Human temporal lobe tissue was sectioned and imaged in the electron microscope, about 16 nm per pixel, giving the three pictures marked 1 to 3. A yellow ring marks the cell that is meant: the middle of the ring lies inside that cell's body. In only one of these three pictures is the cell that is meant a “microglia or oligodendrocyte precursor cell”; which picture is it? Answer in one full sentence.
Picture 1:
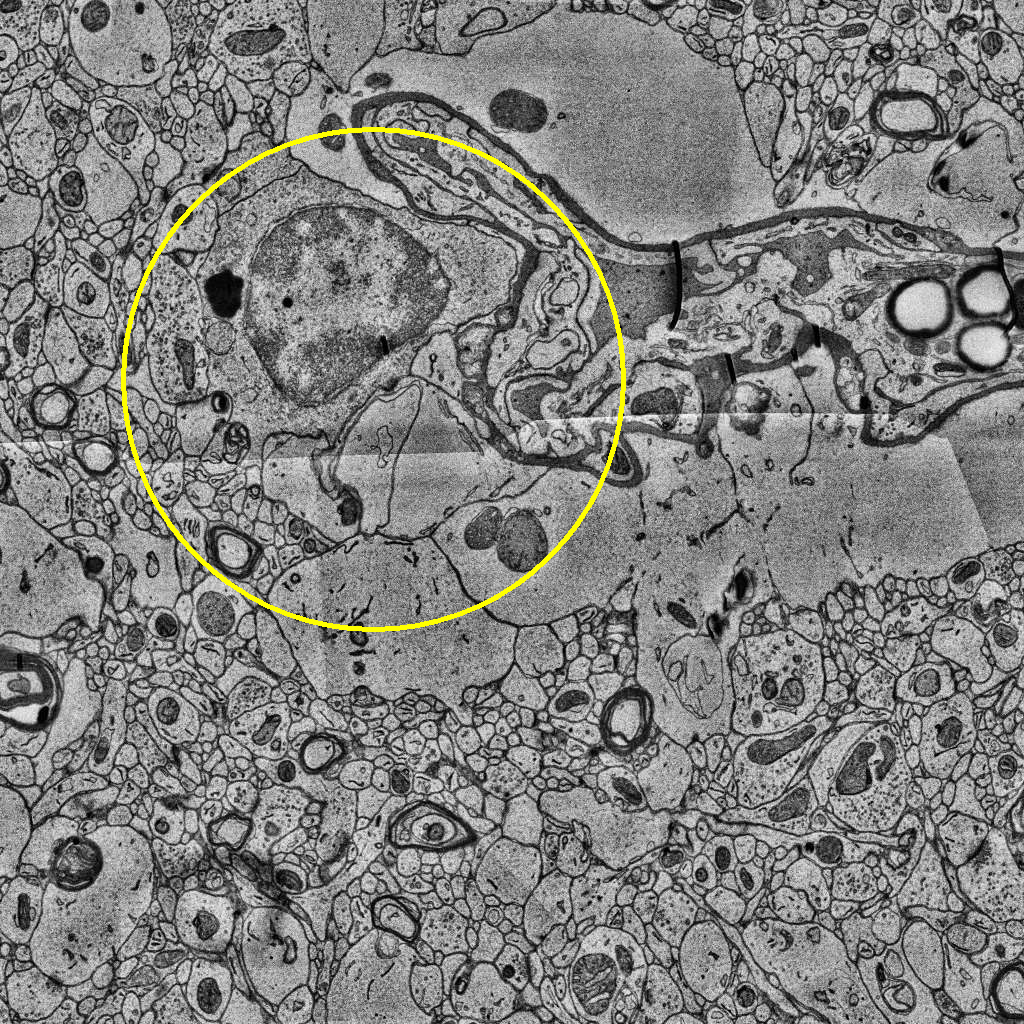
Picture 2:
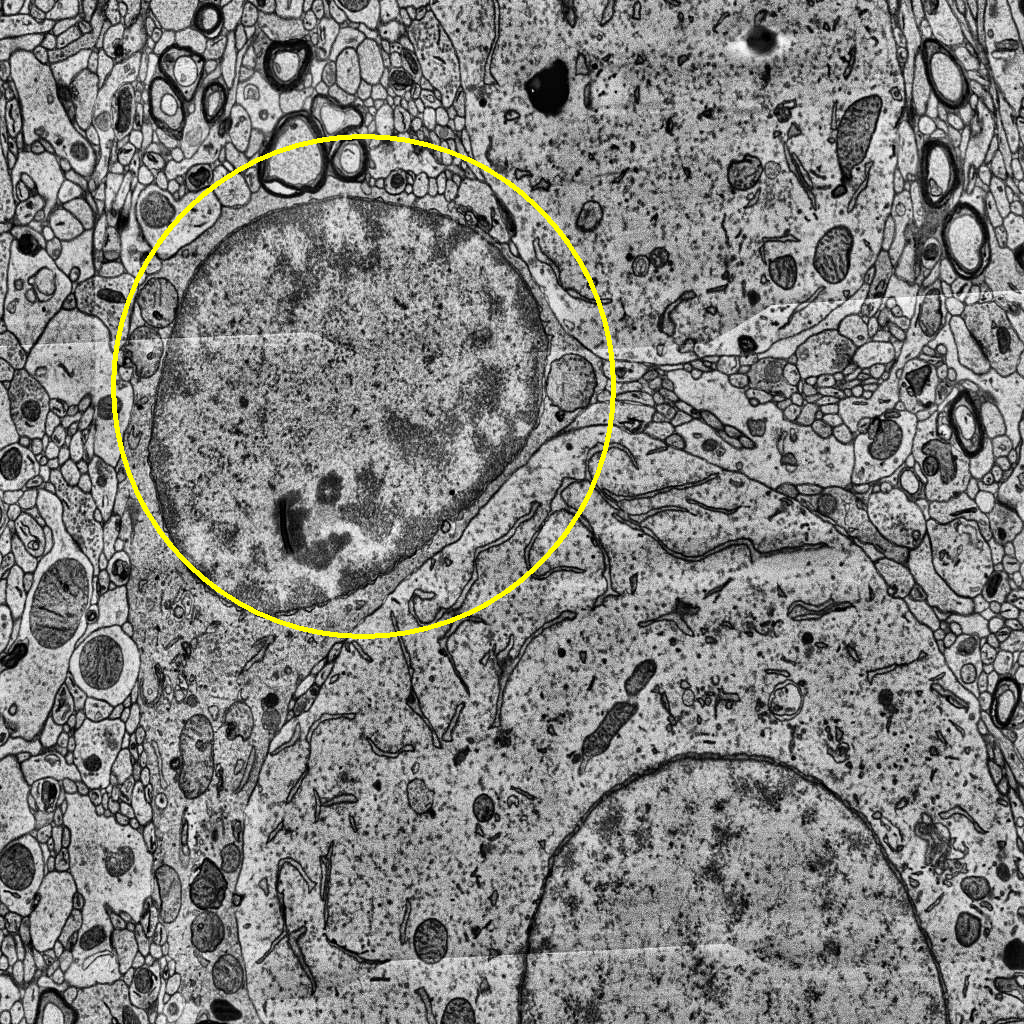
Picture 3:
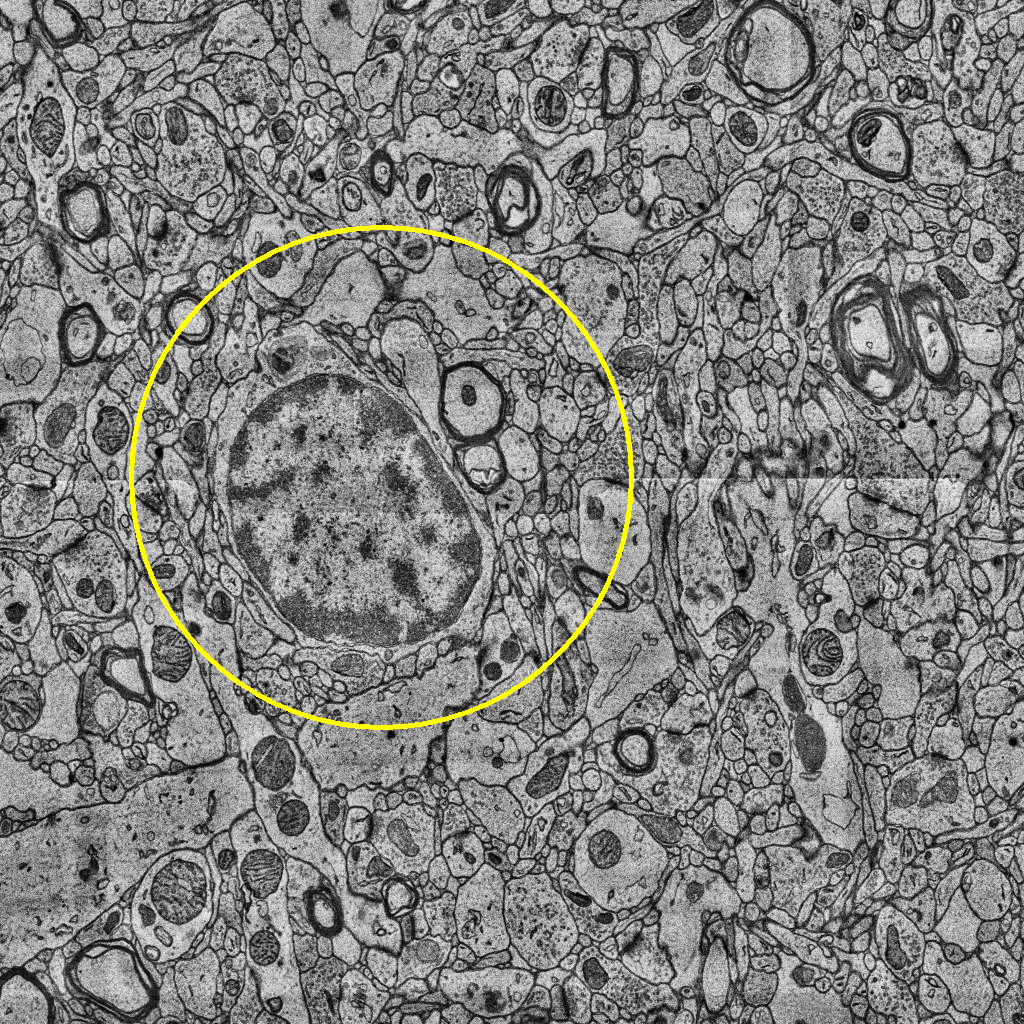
Picture 3 shows the “microglia or oligodendrocyte precursor cell”.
